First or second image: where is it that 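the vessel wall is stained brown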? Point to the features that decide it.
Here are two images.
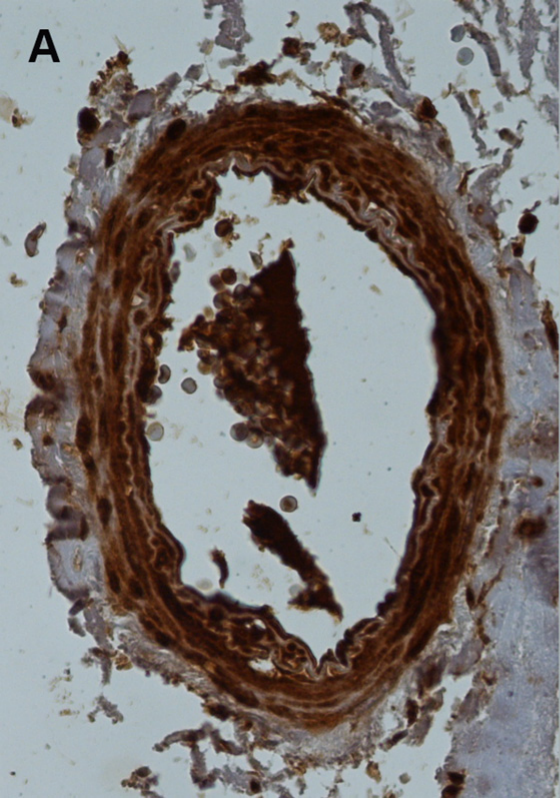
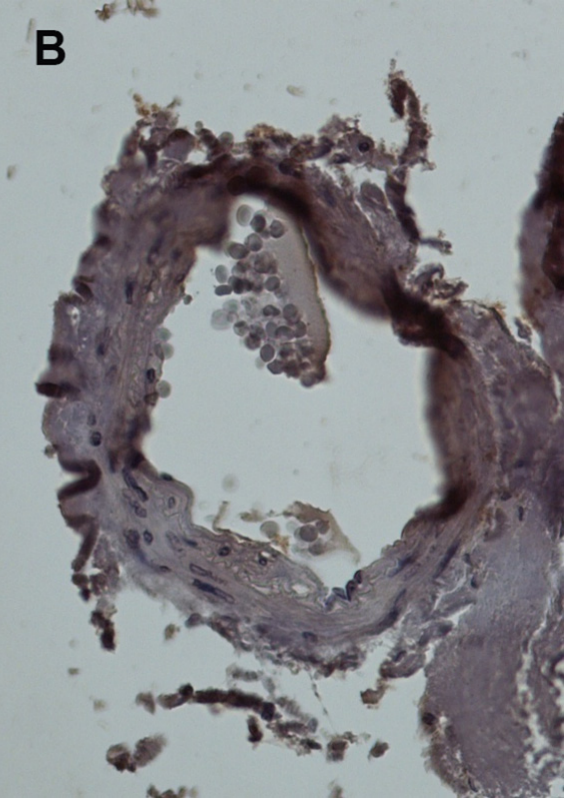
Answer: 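The first image. First image: the thick vessel wall is intensely dark brown throughout.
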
